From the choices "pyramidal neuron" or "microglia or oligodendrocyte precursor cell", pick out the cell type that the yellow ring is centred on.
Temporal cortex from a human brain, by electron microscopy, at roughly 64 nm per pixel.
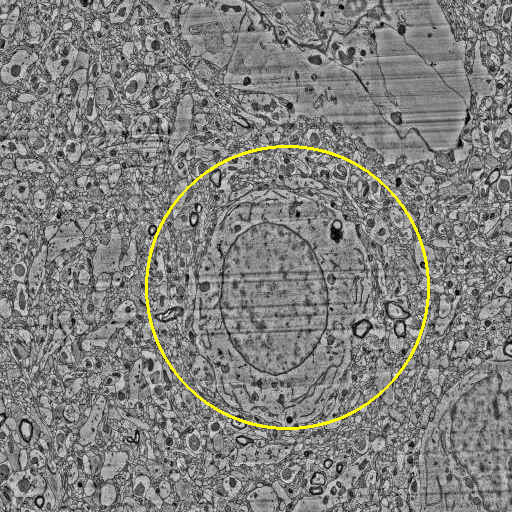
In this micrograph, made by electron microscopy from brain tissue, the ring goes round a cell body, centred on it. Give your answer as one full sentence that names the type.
The yellow ring is centred on a pyramidal neuron, whose cell body it encircles in the picture.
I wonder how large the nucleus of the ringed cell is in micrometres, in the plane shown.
About 10 by 7 micrometres in this plane.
